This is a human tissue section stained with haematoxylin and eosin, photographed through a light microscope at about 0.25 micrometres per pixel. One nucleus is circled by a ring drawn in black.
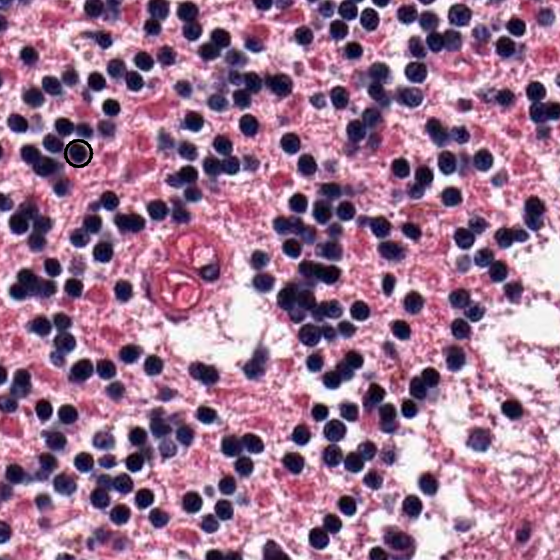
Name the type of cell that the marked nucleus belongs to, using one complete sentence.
The cell containing the marked nucleus is a cerebellar granule cell.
